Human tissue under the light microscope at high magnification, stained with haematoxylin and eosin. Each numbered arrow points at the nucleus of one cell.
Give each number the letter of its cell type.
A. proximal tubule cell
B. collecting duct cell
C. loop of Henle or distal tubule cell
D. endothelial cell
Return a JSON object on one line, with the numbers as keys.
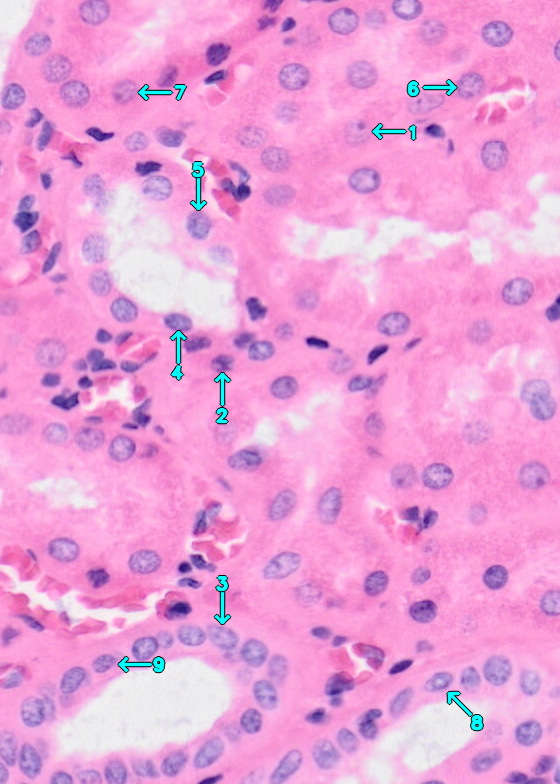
{"1": "A", "2": "C", "3": "B", "4": "C", "5": "C", "6": "A", "7": "A", "8": "B", "9": "B"}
